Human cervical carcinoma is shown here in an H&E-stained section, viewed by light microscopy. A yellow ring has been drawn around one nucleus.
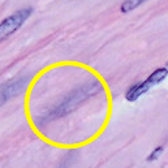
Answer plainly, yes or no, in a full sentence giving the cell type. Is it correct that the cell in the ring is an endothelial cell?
No, just to correct that, the cell in the ring is a smooth muscle cell and not an endothelial cell.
